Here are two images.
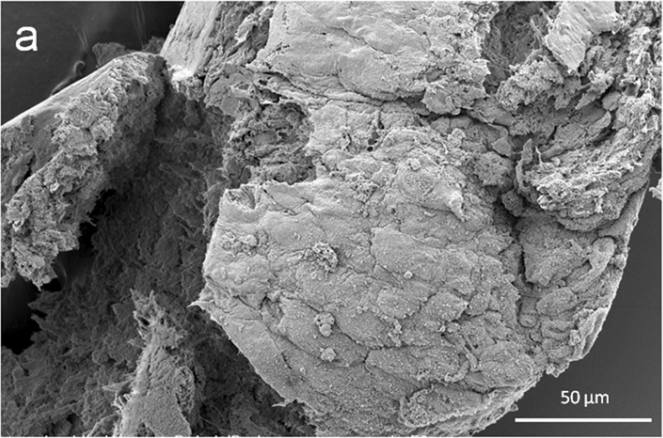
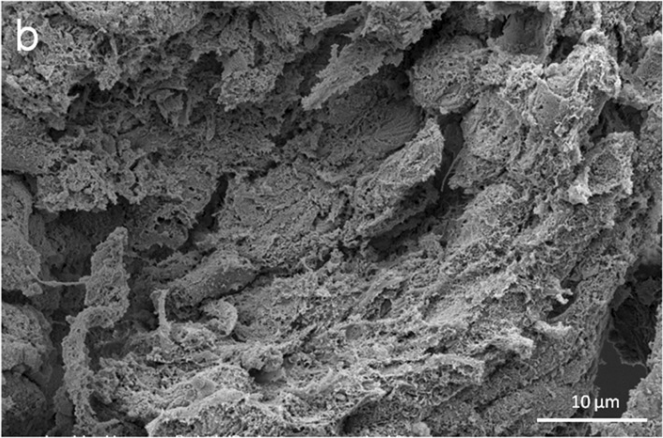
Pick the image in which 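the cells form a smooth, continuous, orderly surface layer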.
The first image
